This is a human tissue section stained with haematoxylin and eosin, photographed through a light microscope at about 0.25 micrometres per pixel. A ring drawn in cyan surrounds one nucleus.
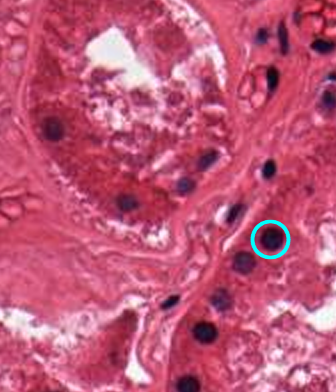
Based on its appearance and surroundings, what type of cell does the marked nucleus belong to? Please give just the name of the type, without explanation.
proximal tubule cell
